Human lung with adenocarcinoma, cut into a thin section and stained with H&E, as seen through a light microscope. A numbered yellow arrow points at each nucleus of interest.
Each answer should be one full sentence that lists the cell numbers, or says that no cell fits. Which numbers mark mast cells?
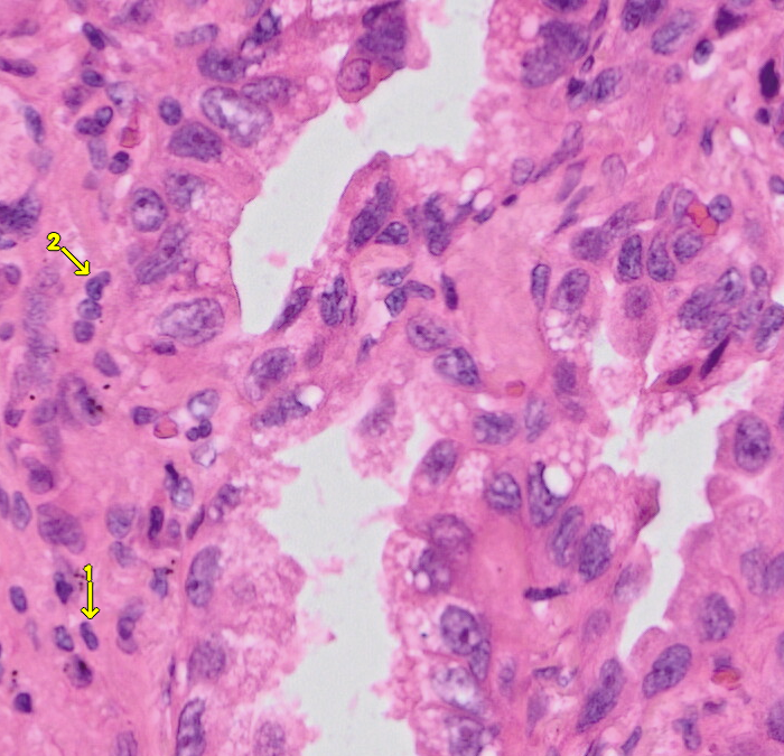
Only the cell numbered 1 is a mast cell; none of the others is.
